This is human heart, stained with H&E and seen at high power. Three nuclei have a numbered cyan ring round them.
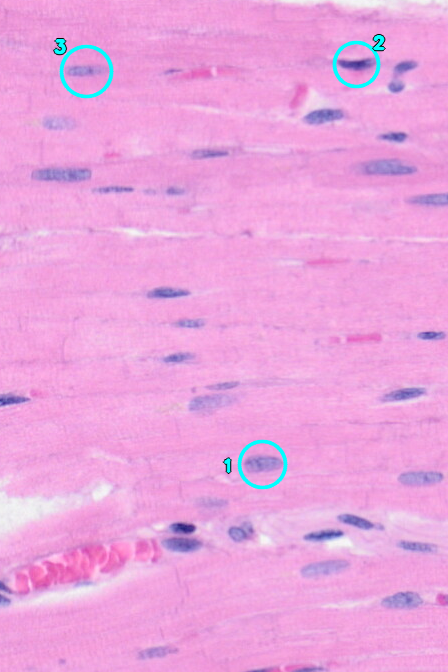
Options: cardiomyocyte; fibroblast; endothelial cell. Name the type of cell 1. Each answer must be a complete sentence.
Cell number 1 in this section is a cardiomyocyte.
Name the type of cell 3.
The nucleus marked 3 is the nucleus of a cardiomyocyte.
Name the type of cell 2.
In this section, the cell tagged 2 is an endothelial cell.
